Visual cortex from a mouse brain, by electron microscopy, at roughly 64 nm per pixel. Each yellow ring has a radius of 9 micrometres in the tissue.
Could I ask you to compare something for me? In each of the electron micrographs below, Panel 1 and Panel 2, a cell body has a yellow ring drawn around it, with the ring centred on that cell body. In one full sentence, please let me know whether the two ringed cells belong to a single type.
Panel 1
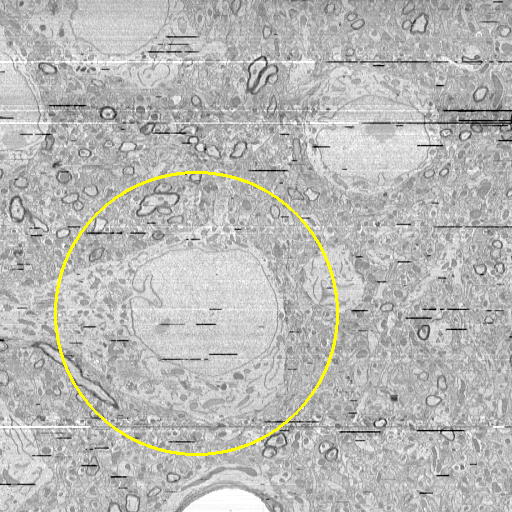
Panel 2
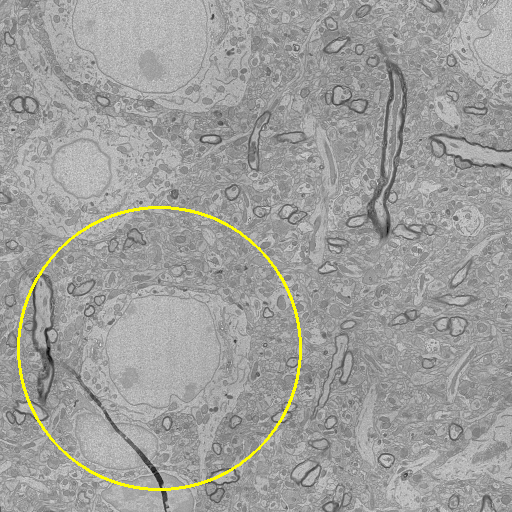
Yes, the two cells at the centres of the rings are of one type.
